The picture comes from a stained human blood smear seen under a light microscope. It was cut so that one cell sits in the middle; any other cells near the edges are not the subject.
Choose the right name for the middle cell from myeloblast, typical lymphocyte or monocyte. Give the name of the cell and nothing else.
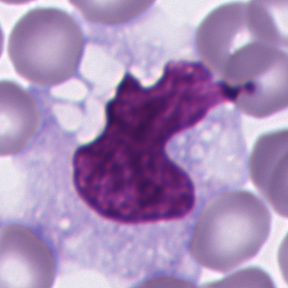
monocyte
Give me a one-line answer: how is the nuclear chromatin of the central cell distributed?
The chromatin is fine; coarse clumps are not a feature here.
